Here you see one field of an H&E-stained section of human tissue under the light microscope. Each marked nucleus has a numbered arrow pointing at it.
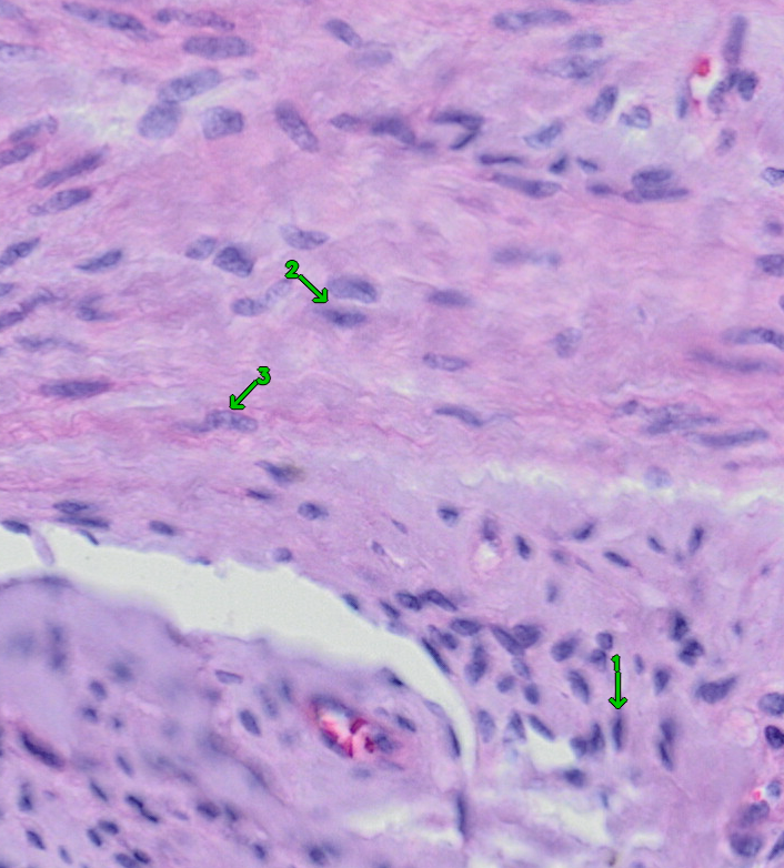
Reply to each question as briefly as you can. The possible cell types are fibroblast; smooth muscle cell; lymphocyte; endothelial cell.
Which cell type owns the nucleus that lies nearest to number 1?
fibroblast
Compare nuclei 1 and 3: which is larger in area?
3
